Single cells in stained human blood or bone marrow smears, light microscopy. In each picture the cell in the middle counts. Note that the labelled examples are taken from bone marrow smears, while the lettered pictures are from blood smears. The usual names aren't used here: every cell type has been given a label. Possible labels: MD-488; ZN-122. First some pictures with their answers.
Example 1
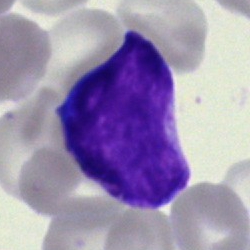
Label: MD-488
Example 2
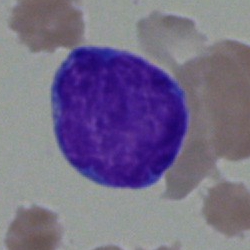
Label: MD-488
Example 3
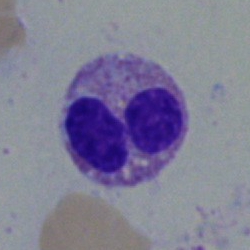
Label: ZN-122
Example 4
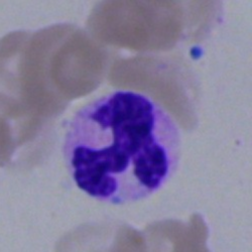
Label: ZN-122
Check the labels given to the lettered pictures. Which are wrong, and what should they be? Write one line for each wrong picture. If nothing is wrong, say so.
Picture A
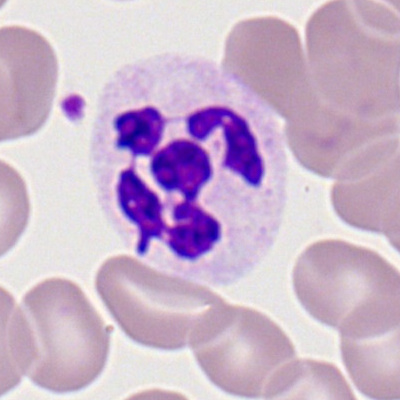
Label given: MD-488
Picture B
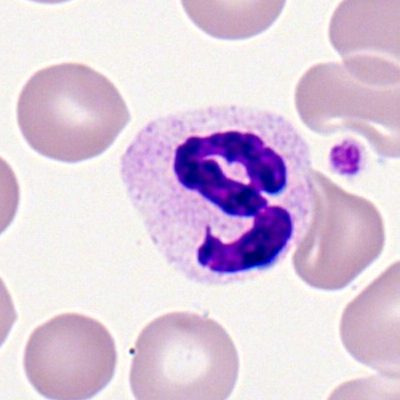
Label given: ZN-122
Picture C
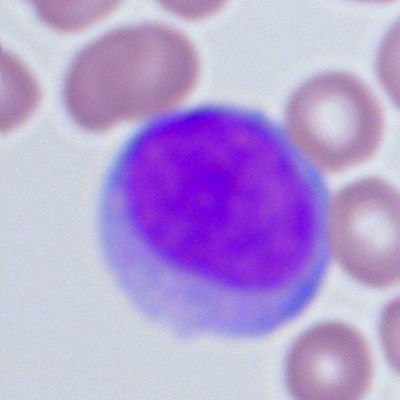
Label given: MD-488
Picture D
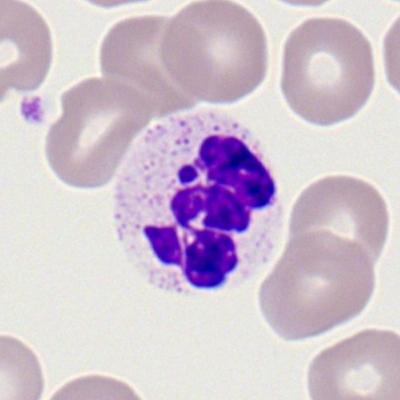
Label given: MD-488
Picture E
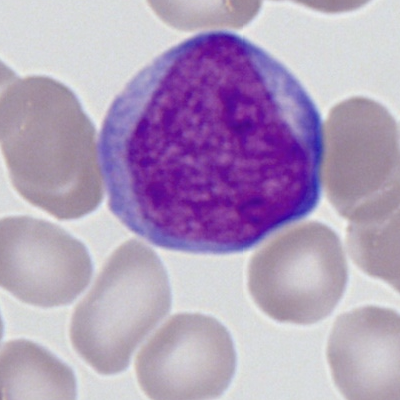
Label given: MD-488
A is labelled MD-488; correct label: ZN-122
D is labelled MD-488; correct label: ZN-122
